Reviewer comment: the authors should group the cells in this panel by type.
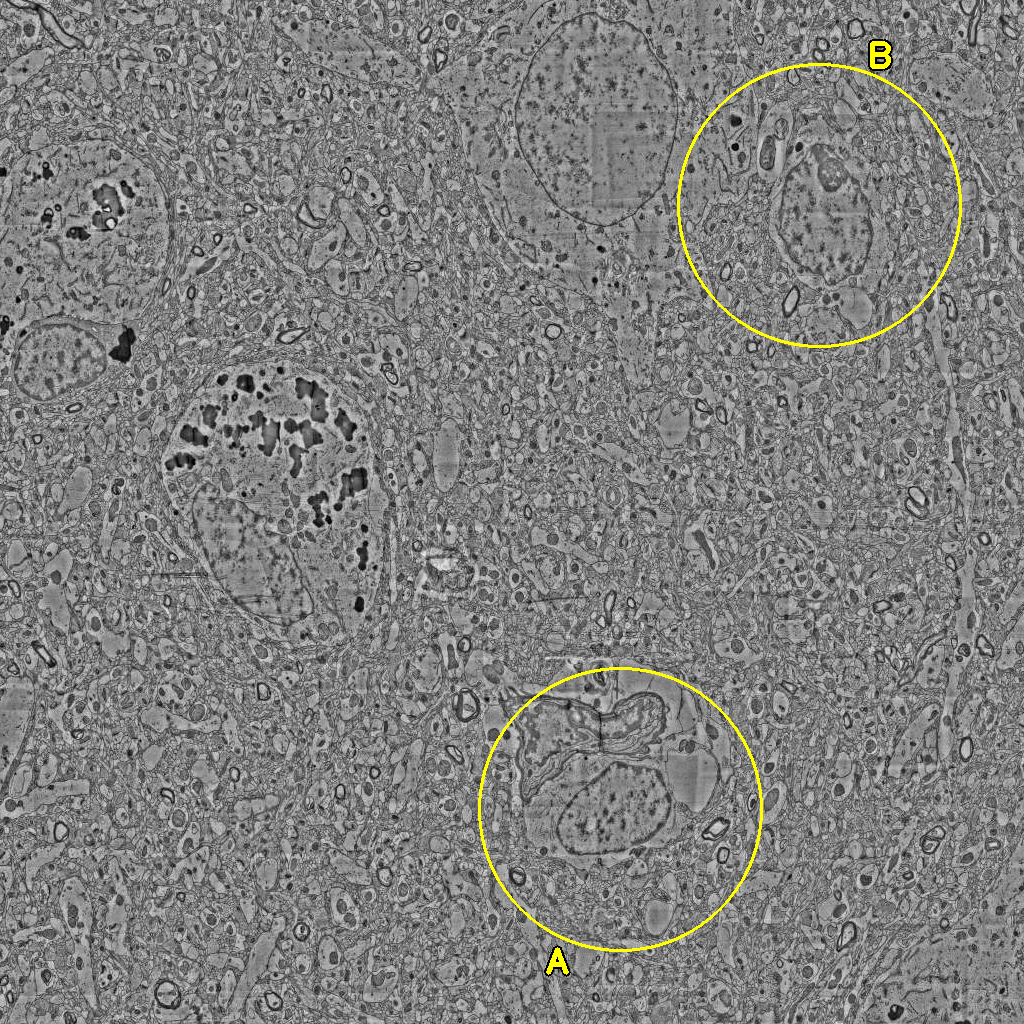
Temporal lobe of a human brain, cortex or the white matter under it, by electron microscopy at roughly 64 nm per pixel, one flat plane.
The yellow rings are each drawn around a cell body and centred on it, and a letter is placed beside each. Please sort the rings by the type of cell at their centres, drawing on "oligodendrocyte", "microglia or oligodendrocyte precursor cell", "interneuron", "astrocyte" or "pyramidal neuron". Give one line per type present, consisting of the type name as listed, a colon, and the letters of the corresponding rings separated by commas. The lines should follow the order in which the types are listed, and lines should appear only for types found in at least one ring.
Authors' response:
microglia or oligodendrocyte precursor cell: A
interneuron: B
